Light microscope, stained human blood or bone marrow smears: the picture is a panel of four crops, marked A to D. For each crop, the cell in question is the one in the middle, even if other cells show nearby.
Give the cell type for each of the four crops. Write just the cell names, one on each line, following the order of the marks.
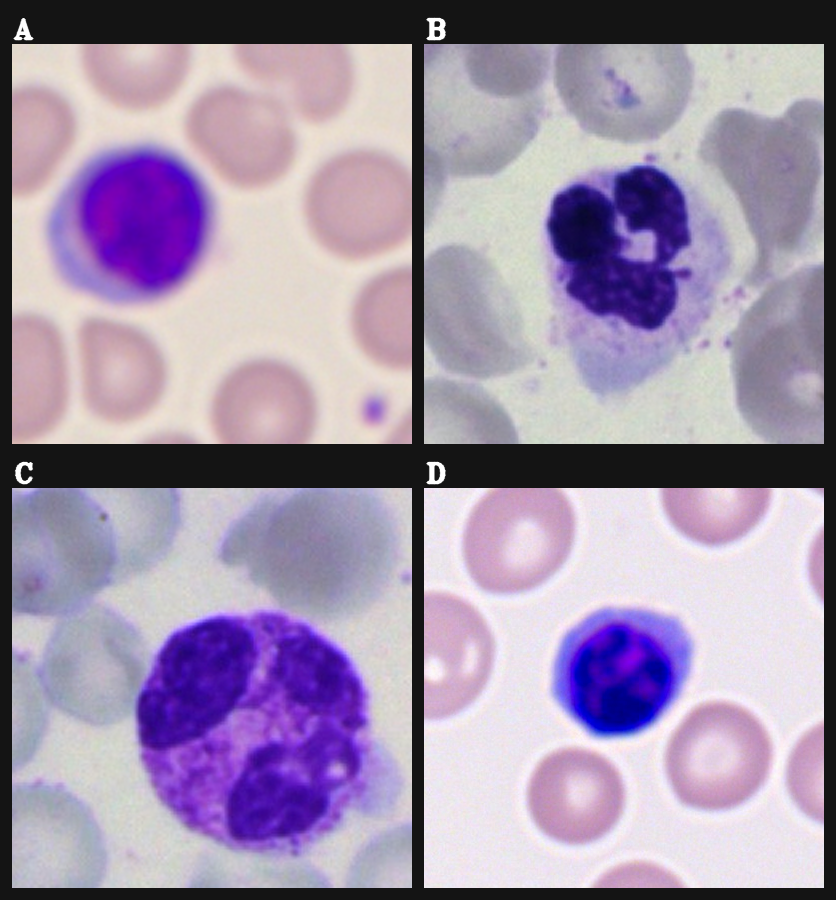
lymphocyte
neutrophil
neutrophil
lymphocyte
